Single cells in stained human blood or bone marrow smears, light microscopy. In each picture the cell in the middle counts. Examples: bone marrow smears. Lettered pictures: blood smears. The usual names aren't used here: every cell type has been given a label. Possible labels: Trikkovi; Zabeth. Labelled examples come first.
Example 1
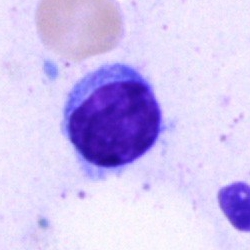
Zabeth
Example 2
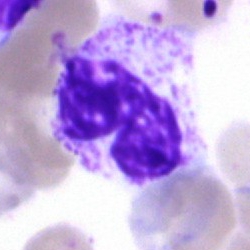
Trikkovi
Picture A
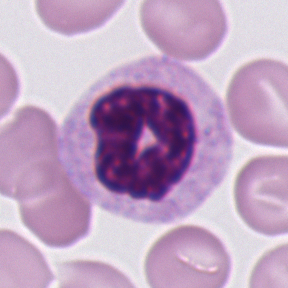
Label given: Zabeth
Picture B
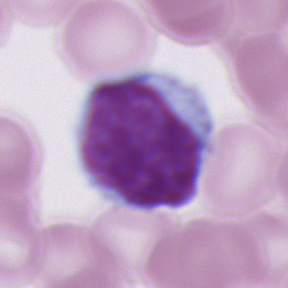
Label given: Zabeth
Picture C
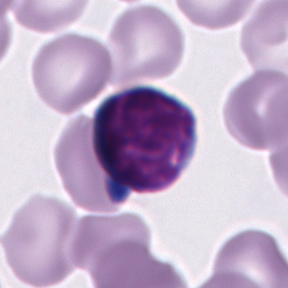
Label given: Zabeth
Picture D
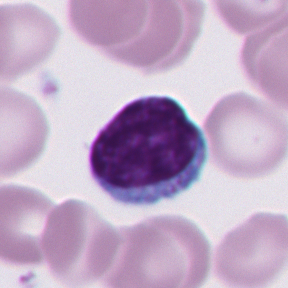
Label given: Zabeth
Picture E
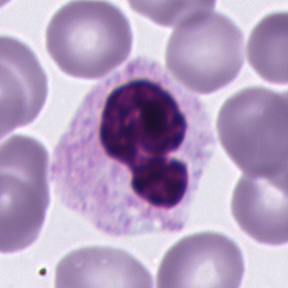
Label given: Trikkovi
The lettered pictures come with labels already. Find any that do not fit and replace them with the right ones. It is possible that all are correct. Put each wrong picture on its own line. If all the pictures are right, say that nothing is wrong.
A: not Zabeth but Trikkovi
